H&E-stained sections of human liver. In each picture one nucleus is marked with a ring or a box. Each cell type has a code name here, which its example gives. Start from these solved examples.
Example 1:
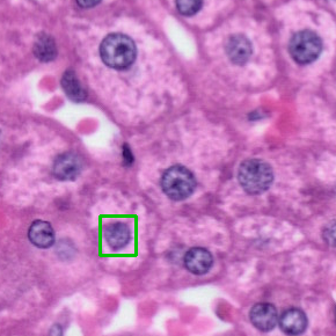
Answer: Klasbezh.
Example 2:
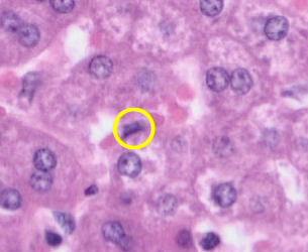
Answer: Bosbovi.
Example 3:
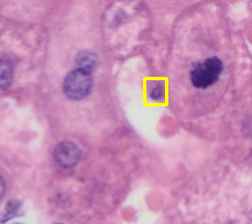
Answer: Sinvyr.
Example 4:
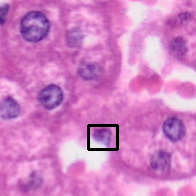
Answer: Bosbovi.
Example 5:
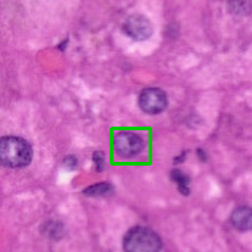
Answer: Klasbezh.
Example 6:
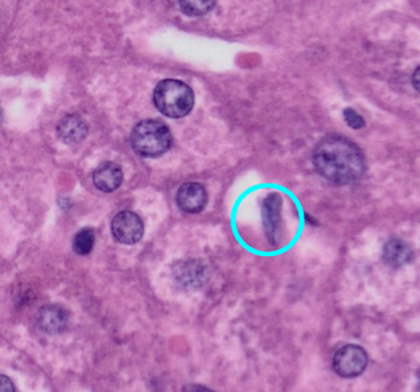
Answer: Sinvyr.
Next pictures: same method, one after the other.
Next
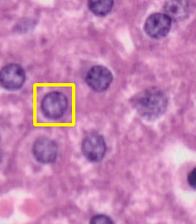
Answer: Klasbezh.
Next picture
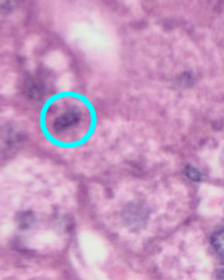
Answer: Bosbovi.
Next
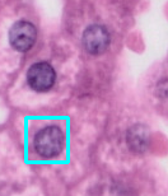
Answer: Klasbezh.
